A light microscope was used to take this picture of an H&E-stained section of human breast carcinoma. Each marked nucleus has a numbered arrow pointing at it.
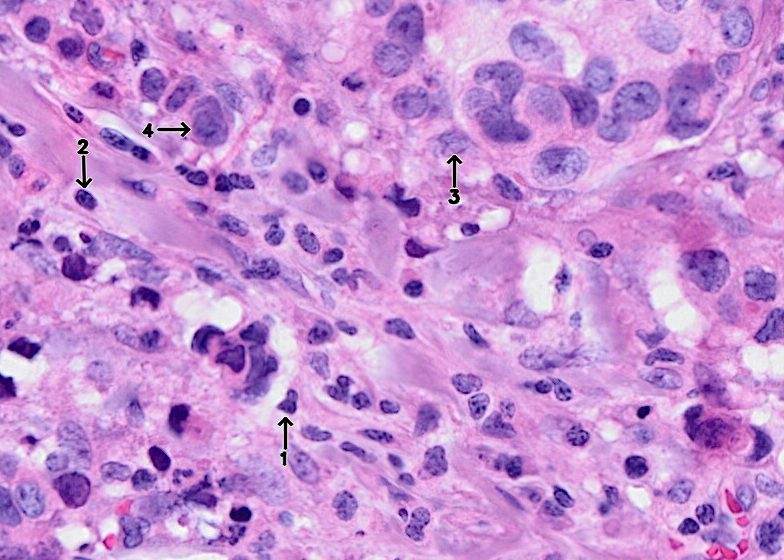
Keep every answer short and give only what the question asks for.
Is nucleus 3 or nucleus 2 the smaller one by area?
2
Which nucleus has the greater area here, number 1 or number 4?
4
